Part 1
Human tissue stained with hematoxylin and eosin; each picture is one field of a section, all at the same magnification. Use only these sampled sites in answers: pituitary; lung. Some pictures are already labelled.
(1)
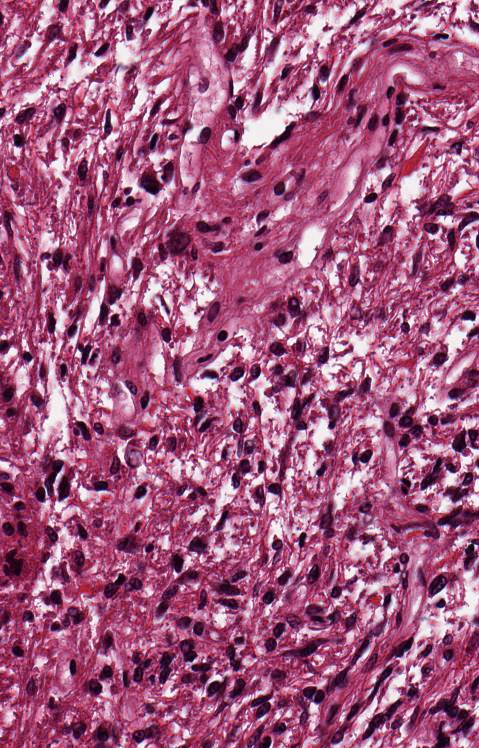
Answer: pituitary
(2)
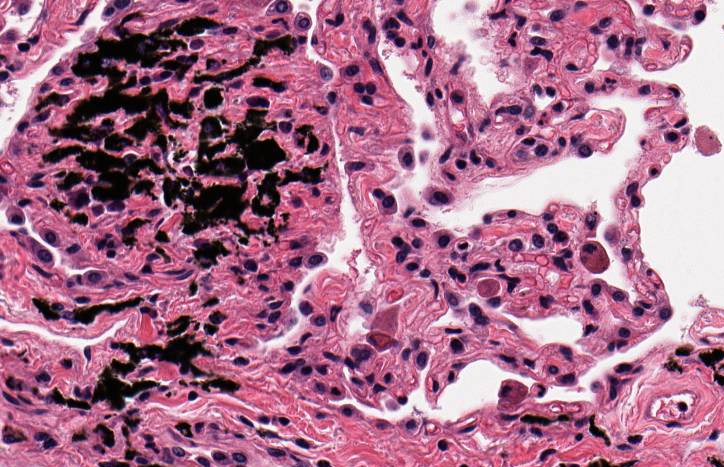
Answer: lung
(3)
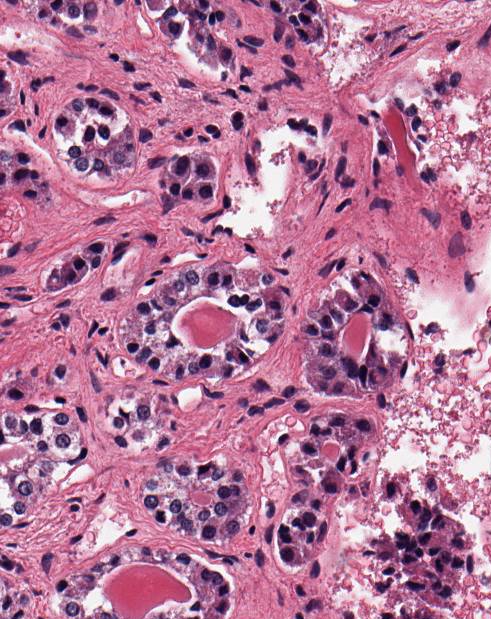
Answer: pituitary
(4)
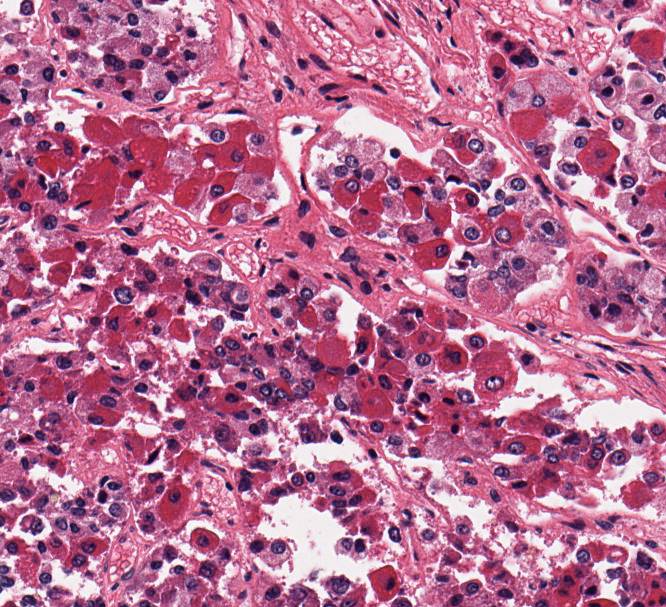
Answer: pituitary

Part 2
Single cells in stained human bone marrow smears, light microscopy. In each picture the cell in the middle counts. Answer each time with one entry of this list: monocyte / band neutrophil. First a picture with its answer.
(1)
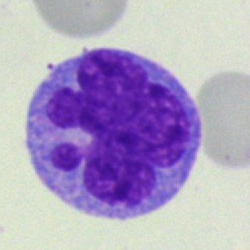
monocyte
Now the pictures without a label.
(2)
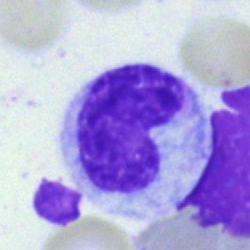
band neutrophil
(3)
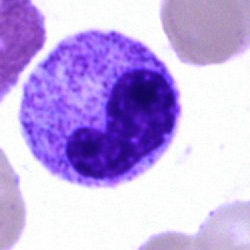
band neutrophil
